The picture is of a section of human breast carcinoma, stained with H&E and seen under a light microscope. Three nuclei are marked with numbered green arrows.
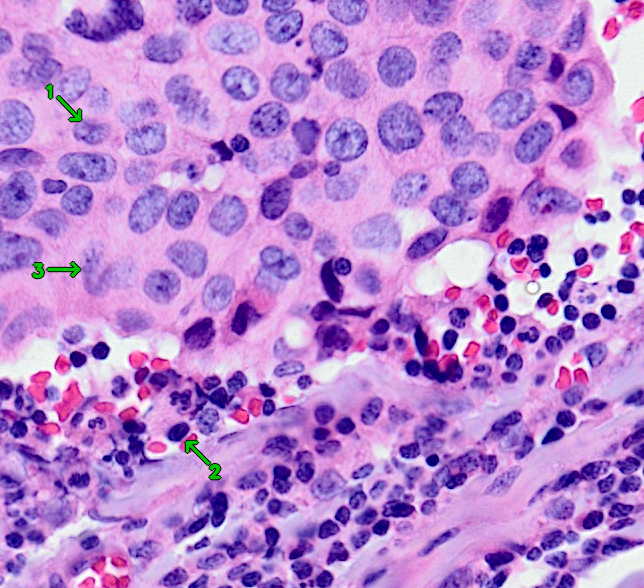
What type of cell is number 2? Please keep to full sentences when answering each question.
To a lymphocyte belongs the nucleus marked 2.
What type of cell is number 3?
Within this field of view, the cell labelled 3 is a carcinoma cell.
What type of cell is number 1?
In the marked set, the cell given number 1 is a carcinoma cell.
